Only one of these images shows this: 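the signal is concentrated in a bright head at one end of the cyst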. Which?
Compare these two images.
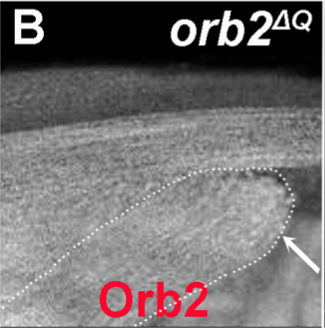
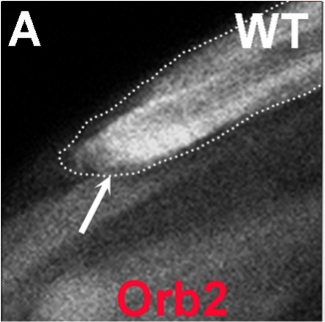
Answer: The second image.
